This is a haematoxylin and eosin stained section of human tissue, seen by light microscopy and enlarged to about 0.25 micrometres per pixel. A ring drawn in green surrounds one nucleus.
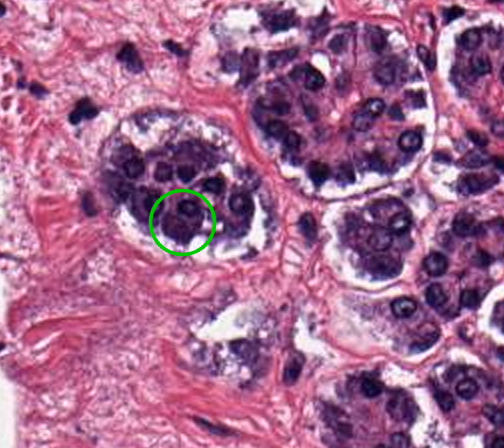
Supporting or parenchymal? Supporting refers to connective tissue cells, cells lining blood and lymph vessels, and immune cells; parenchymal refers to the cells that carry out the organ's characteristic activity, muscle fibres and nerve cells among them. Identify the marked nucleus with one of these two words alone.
parenchymal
